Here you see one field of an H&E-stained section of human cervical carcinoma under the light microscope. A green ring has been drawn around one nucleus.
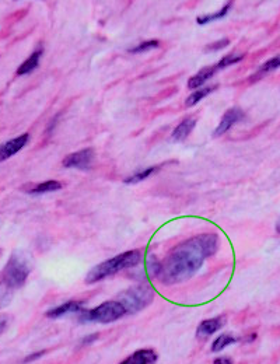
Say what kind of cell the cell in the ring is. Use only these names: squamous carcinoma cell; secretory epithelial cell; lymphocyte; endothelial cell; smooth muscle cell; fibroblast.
endothelial cell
